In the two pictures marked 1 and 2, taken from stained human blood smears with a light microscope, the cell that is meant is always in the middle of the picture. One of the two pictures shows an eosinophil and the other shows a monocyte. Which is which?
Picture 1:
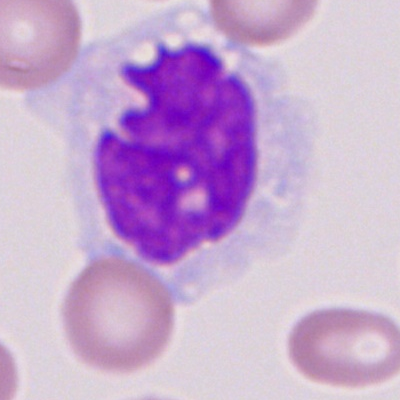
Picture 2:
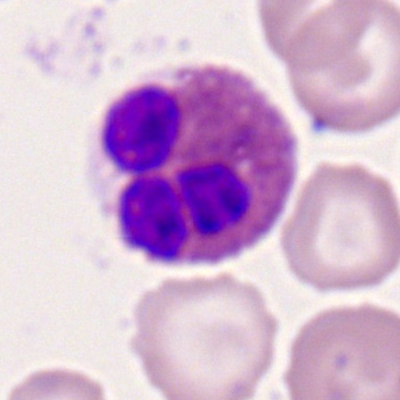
1: monocyte
2: eosinophil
